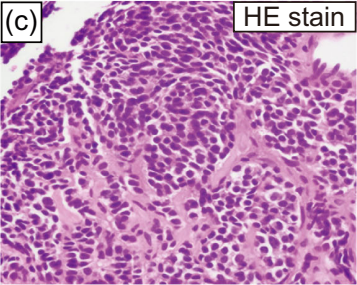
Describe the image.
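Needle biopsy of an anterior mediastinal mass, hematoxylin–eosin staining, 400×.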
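The cells lie crowded in nests and sheets, each with a dark purple round to oval nucleus and scant cytoplasm. Pink fibrous strands separate the nests, and at the margins some nuclei appear more elongated and spindle-like. The cells all look much alike, and there are no areas of pale, dead debris among them.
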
